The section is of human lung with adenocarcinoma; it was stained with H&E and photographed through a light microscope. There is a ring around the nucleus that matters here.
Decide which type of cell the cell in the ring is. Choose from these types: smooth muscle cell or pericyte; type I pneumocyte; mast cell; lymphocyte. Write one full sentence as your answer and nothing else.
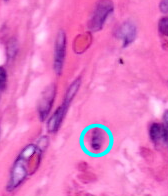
The category to which the cell in the ring belongs is that of a mast cell.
